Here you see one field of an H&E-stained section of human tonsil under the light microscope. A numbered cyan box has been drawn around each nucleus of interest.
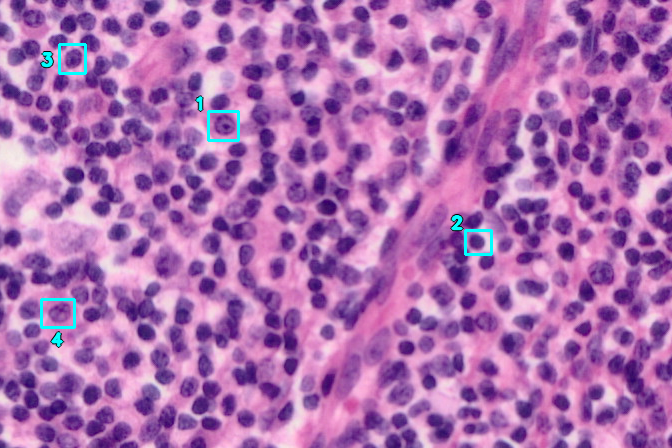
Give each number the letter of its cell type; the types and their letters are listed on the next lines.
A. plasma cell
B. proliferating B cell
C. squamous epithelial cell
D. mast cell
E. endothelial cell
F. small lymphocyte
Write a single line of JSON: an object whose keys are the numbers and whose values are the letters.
{"1": "A", "2": "F", "3": "F", "4": "A"}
